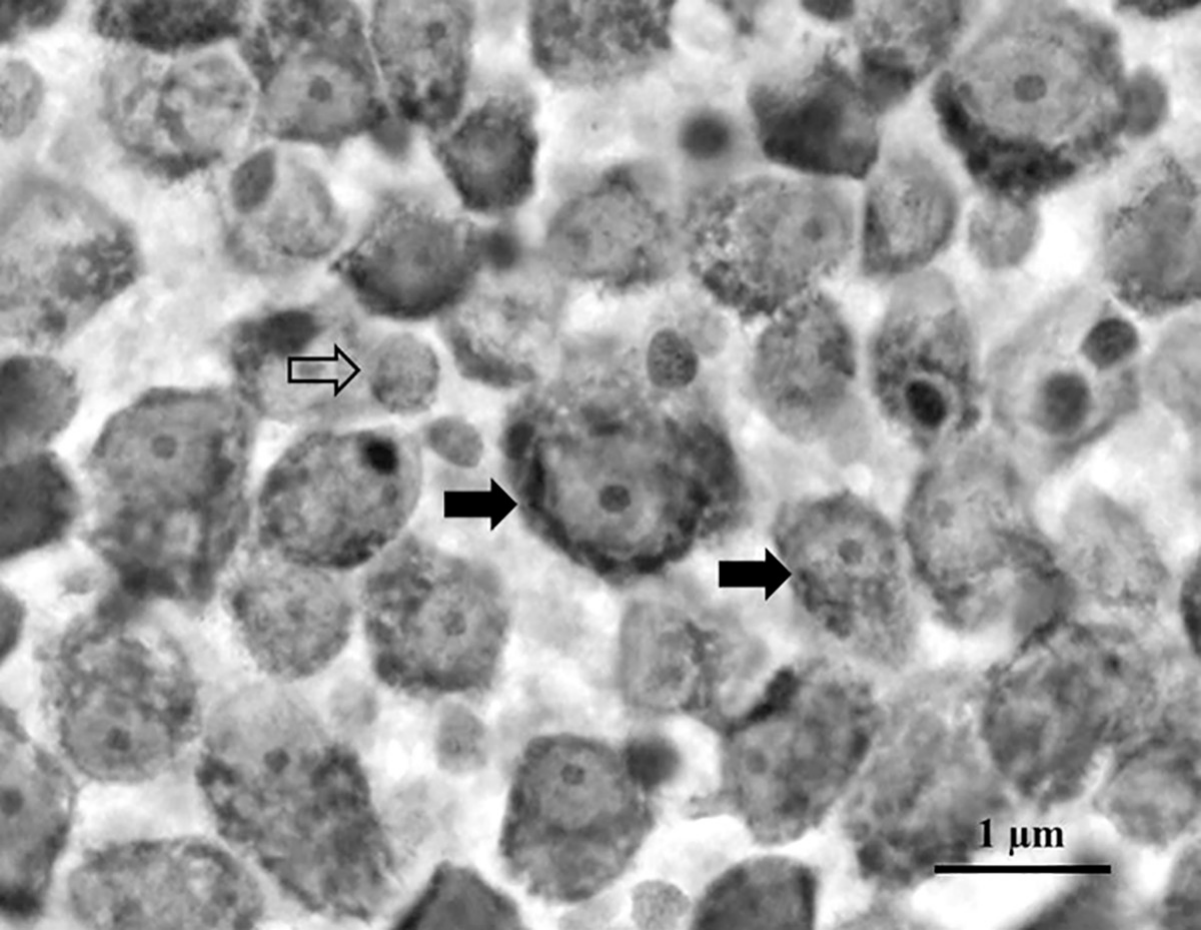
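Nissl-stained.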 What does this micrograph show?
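The cell layer of a flat-mounted retina shows a crowded mosaic of neuronal somata of two broadly different sizes, stained in shades of grey. The large ganglion cells are round to polygonal, each with a round, pale nucleus holding a single dark nucleolus, surrounded by cytoplasm filled with dark, coarse granular material that is often densest toward the cell edge. Scattered between them lie small, round displaced amacrine cells whose somata are more evenly and lightly stained, with little granular material in the cytoplasm. Pale spaces separate many of the cell bodies.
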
